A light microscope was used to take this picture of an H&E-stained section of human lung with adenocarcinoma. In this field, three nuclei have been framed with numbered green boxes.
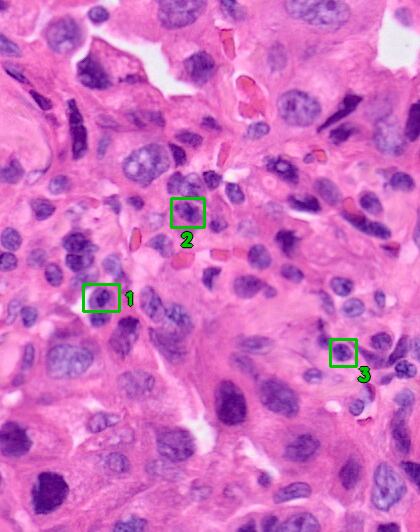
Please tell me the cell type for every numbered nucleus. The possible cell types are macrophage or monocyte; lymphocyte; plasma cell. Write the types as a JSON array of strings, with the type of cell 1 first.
["lymphocyte", "plasma cell", "lymphocyte"]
